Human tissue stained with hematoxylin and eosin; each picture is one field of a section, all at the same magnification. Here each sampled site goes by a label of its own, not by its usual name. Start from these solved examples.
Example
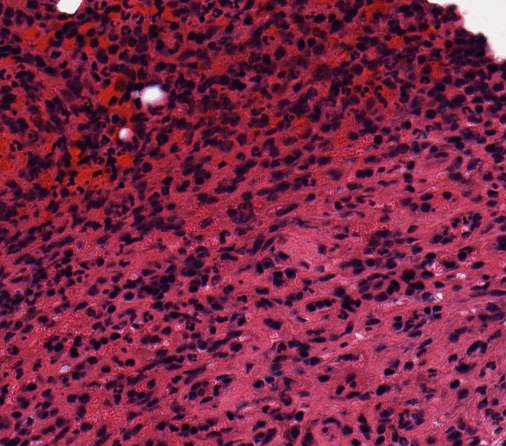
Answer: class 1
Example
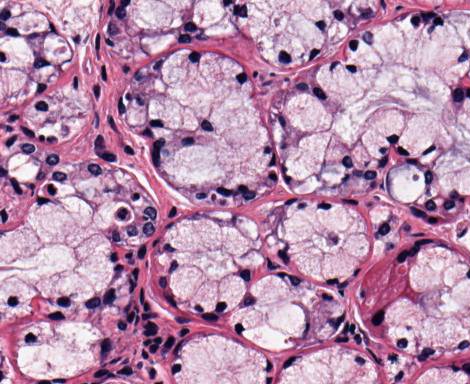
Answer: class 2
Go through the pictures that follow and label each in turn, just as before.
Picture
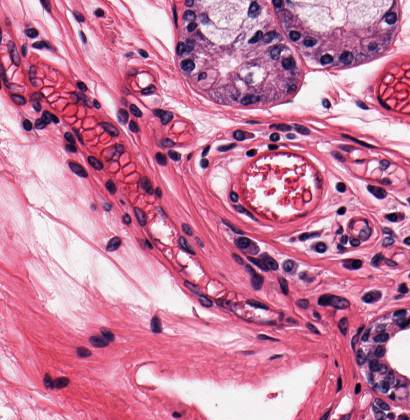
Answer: class 2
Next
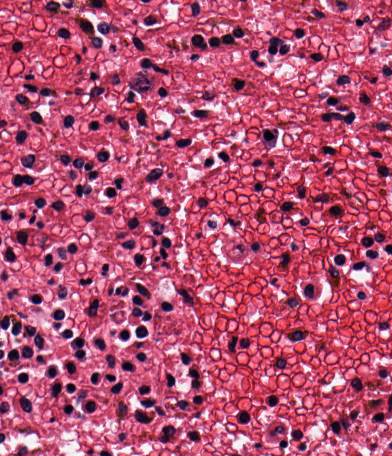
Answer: class 1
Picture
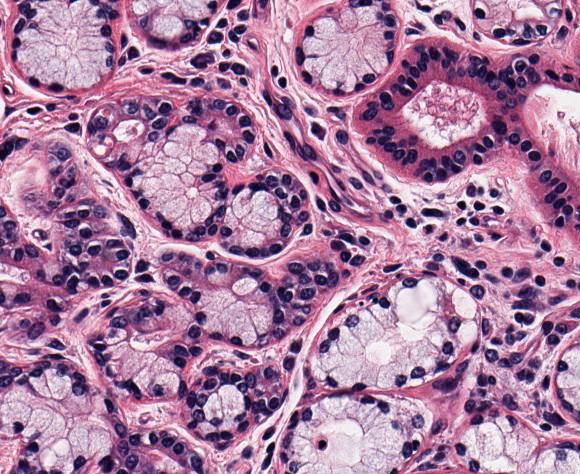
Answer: class 2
